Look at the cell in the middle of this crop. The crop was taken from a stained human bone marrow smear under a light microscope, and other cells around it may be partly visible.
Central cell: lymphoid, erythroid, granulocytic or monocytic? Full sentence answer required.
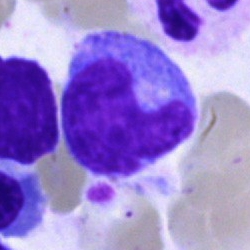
Of the possible lineages, the central cell belongs to the monocytic lineage.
